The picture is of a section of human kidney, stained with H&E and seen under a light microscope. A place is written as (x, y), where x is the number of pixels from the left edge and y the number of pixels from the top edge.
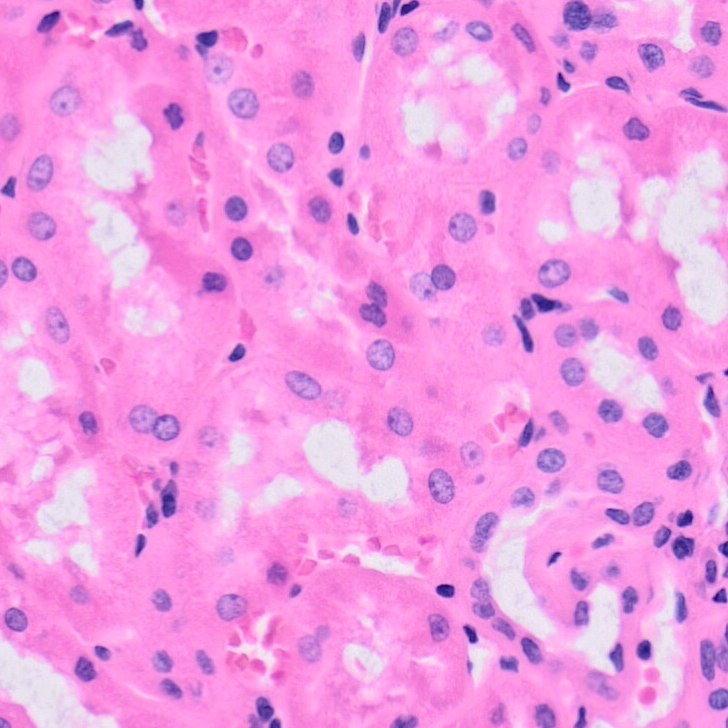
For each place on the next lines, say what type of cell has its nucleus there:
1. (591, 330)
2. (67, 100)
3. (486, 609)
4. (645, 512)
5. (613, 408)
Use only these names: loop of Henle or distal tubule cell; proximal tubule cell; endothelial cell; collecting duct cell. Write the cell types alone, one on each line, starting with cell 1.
loop of Henle or distal tubule cell
proximal tubule cell
collecting duct cell
collecting duct cell
loop of Henle or distal tubule cell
